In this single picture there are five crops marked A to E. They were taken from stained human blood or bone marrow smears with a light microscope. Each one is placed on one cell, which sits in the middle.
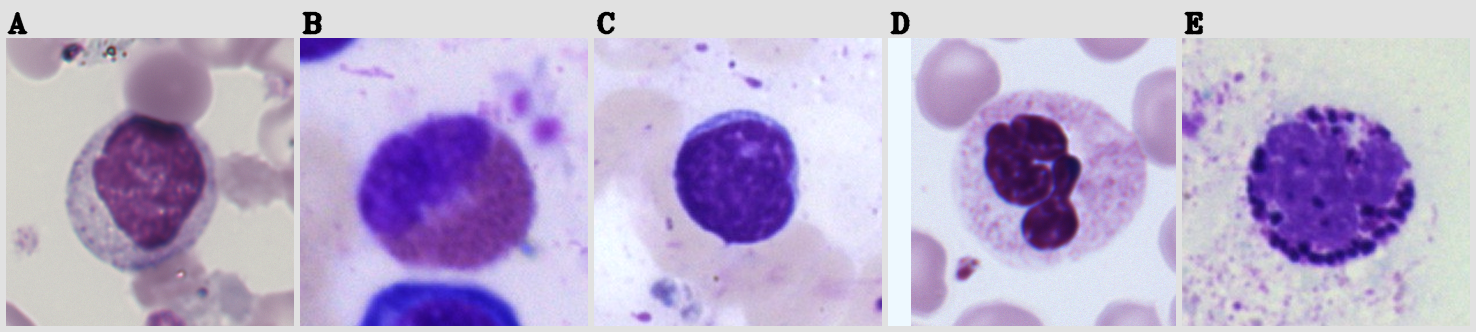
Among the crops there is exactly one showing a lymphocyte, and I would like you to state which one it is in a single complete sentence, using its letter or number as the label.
Crop C is where a lymphocyte is to be found.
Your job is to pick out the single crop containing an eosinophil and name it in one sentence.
Crop B is where an eosinophil is shown.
